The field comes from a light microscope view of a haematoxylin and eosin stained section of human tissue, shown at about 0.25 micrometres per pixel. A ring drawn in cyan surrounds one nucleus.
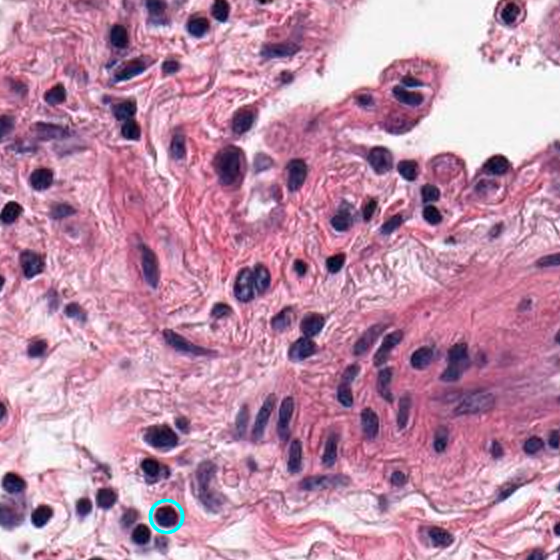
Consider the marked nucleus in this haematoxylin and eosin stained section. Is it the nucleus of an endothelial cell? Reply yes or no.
no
